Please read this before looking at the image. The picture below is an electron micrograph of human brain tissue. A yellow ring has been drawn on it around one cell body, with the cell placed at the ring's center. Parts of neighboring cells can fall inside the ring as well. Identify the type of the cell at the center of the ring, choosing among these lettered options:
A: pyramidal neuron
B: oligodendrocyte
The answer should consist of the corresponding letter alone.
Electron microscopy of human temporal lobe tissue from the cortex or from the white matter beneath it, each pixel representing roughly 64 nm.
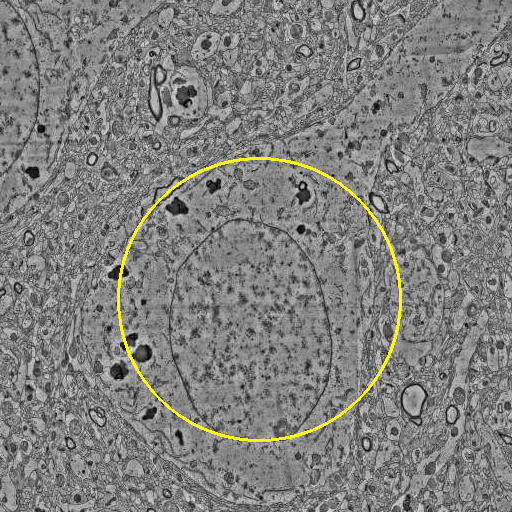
A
